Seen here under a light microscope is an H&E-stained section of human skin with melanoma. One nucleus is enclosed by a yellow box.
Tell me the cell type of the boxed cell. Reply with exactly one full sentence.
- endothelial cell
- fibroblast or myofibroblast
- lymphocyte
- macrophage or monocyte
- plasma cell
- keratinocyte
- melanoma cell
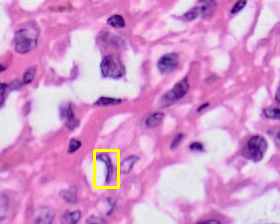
In this section of tissue, the boxed cell is an endothelial cell.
